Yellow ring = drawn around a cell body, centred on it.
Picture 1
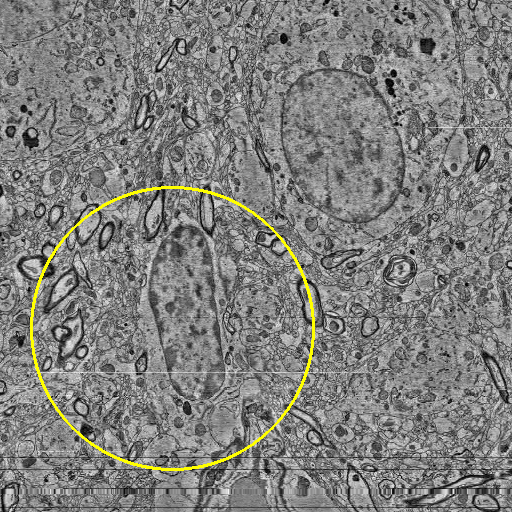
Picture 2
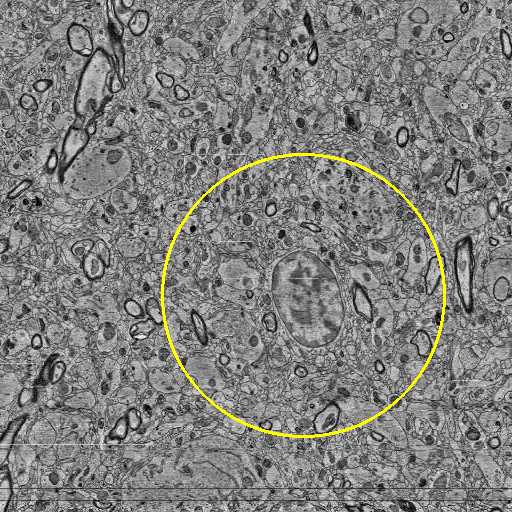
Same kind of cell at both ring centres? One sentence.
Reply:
Yes, they are the same kind of cell.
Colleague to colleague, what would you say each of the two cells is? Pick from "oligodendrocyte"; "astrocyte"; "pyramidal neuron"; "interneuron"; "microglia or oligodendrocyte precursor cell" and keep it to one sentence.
The first and the second cell are each a microglial cell or oligodendrocyte precursor cell.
